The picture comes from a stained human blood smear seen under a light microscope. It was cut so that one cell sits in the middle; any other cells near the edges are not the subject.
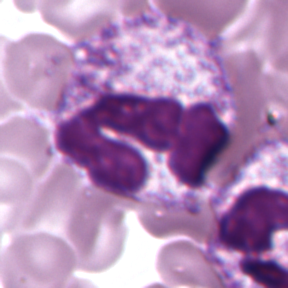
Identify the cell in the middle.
neutrophil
